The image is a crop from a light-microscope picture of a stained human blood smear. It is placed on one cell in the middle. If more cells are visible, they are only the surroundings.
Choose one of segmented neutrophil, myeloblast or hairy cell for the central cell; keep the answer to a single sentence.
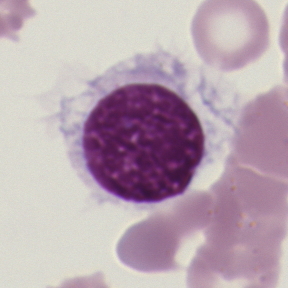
The centrally positioned cell in the crop represents a hairy cell.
